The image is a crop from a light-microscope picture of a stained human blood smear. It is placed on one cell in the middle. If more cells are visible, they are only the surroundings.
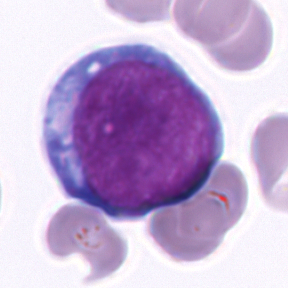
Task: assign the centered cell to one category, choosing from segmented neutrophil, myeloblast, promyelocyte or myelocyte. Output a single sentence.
The crop centres on a single cell, and that cell is a myeloblast.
